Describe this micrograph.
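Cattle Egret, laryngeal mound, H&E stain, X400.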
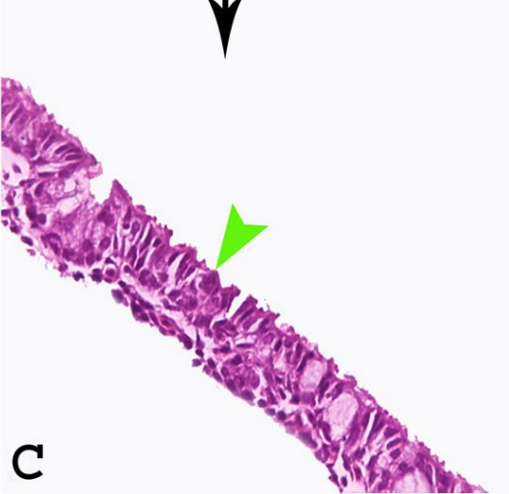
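The free surface carries a fringe of fine hair-like cilia. Scattered among the columnar cells are pale, rounded, vacuolated cells resembling goblet cells. The cytoplasm stains pink to purple.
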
